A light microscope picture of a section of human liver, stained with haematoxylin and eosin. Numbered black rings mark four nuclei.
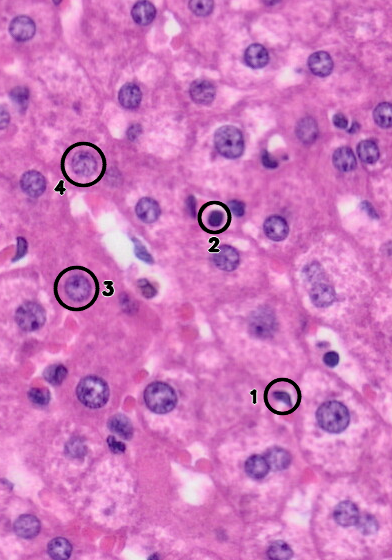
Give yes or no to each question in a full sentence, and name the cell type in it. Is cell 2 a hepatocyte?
No, cell 2 is not a hepatocyte; it is a lymphocyte.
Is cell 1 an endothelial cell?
Yes, the cell pointed out as number 1 is an endothelial cell.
